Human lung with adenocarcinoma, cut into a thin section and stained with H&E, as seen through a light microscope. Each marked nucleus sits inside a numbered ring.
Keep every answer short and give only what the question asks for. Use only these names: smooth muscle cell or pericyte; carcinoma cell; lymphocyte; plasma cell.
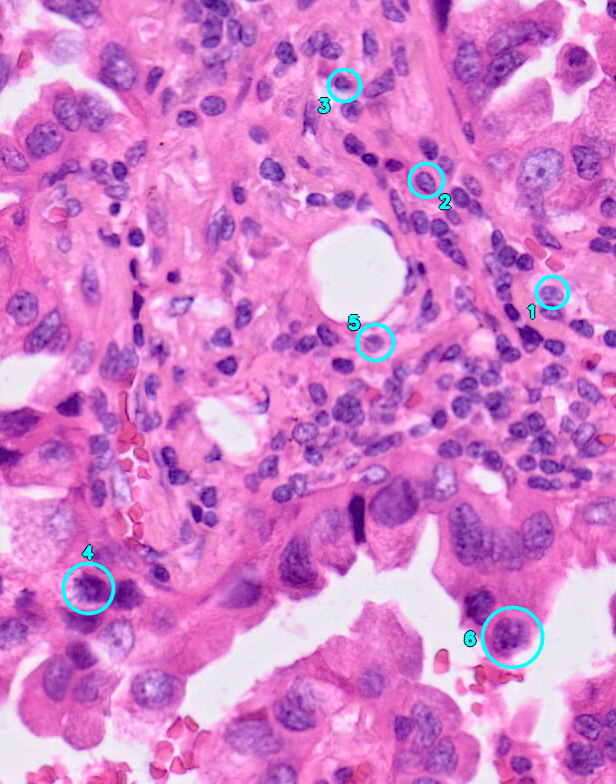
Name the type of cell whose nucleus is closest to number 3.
lymphocyte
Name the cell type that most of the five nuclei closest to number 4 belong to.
carcinoma cell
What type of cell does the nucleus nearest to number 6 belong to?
carcinoma cell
